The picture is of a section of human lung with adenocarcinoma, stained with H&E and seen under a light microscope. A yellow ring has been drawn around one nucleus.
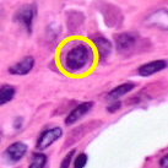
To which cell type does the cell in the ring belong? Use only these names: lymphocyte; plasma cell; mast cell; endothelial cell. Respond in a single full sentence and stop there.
For the purposes of cell typing, the cell in the ring is categorized as a plasma cell.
